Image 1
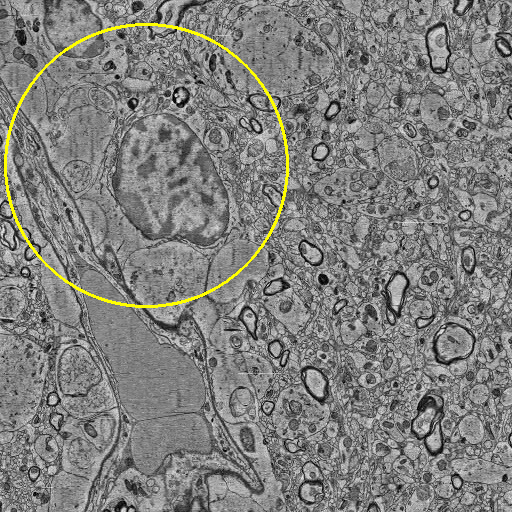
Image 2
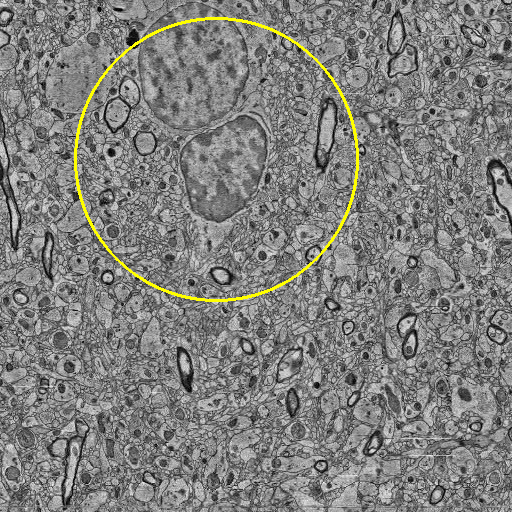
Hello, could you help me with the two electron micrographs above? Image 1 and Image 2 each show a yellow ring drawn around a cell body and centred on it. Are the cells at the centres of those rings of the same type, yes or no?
yes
